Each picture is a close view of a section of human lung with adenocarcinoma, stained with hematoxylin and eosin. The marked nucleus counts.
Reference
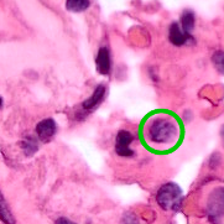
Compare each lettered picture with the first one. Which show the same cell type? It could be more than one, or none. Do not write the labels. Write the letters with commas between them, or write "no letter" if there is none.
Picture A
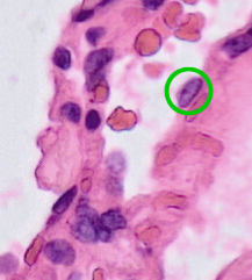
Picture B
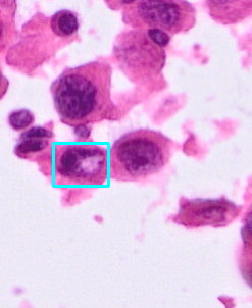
A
